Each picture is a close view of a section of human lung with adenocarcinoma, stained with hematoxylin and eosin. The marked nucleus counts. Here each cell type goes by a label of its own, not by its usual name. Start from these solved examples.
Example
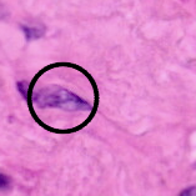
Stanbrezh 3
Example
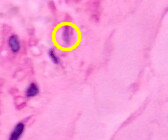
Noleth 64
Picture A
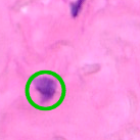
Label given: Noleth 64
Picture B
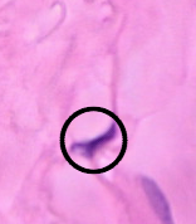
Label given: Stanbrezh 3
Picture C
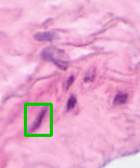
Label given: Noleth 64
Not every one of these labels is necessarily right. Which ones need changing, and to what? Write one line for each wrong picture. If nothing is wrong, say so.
Wrong: A (Noleth 64); correct: Stanbrezh 3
